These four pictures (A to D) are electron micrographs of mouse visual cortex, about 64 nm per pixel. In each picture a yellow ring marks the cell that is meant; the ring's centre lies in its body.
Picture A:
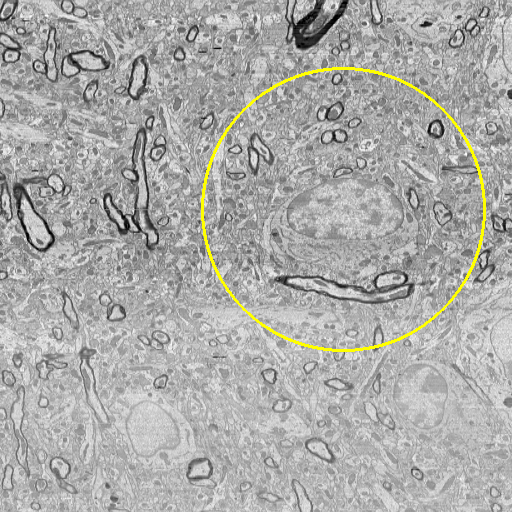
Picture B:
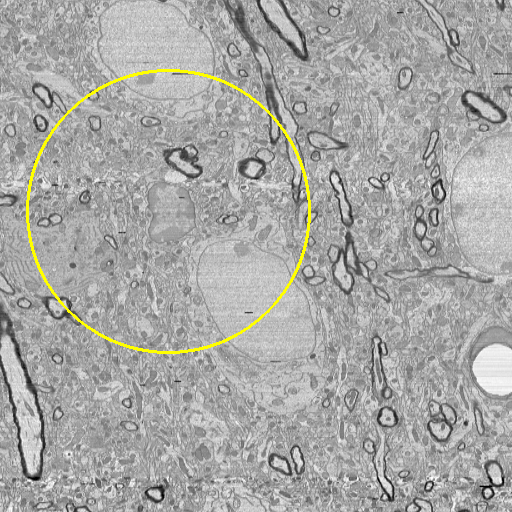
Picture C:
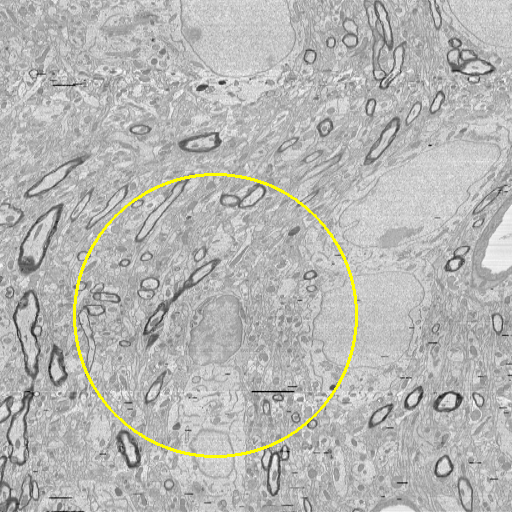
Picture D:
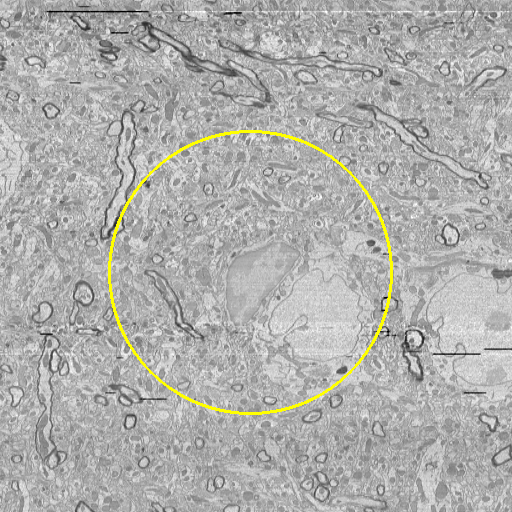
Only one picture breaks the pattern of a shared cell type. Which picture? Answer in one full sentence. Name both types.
The others show microglial cells, but picture A shows an oligodendrocyte.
